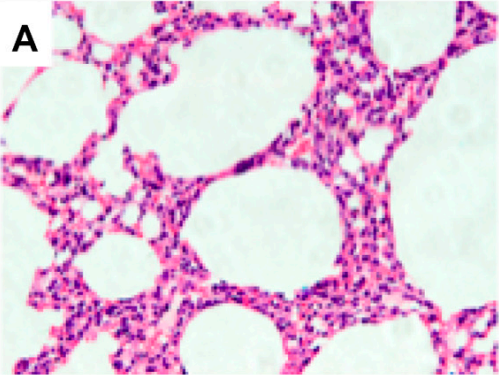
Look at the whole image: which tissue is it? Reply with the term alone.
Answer: lung tissues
